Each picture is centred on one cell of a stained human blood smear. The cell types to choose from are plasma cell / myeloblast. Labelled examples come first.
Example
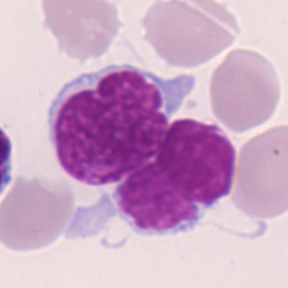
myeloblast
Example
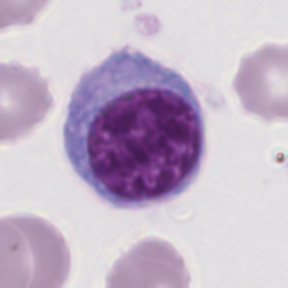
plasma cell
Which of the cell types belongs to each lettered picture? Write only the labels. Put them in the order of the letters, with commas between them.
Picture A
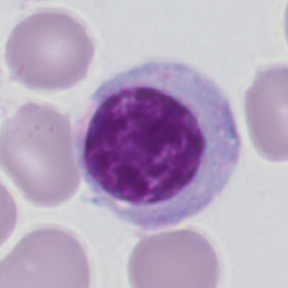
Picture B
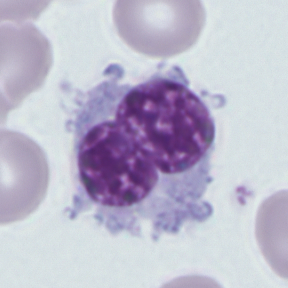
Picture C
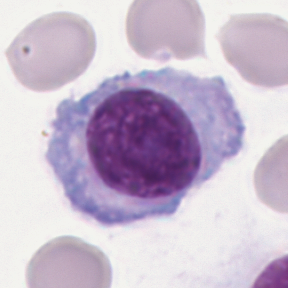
plasma cell, plasma cell, plasma cell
